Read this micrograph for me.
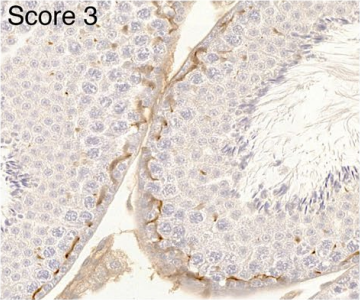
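This is testis tissue with cross-sectioned seminiferous tubules filled with many layers of germ cells with round, blue-grey nuclei. Brown stain forms short lines and dots concentrated near the base of the tubules, close to the tubule wall, and extending a little between the cells. The lumen of one tubule at upper right contains a pale mass of fine sperm tails. A narrow interstitial space separates neighbouring tubules.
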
